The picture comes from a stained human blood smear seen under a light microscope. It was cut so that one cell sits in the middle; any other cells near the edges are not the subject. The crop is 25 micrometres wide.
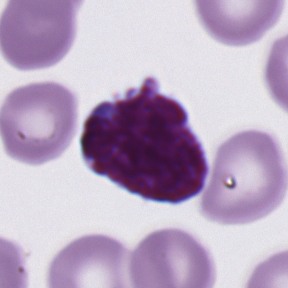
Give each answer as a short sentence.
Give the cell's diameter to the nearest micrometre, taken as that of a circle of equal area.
The cell is about 11 micrometres across.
